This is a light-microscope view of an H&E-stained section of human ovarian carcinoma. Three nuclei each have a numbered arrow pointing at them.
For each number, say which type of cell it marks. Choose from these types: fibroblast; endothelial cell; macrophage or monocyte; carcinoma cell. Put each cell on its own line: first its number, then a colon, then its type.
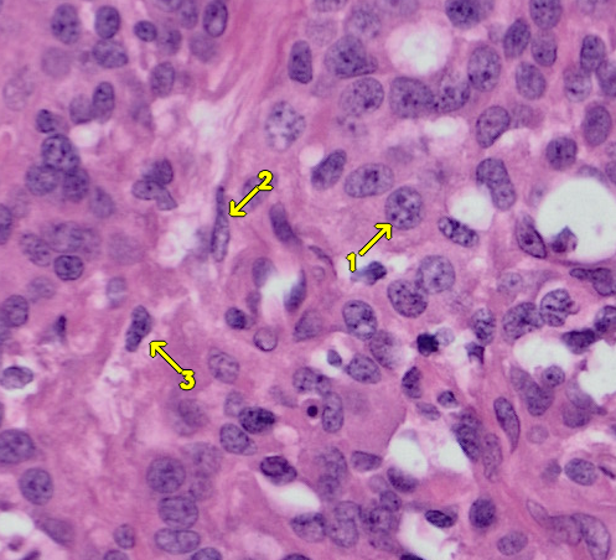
1: carcinoma cell
2: fibroblast
3: macrophage or monocyte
